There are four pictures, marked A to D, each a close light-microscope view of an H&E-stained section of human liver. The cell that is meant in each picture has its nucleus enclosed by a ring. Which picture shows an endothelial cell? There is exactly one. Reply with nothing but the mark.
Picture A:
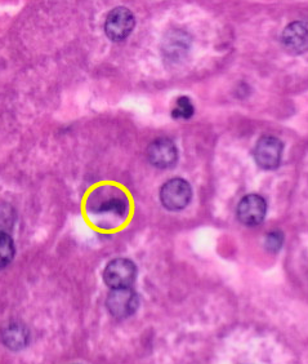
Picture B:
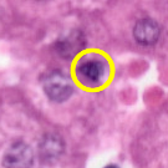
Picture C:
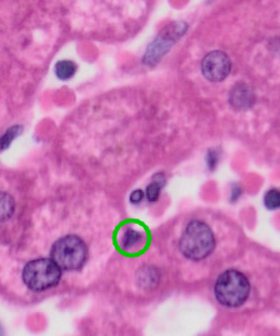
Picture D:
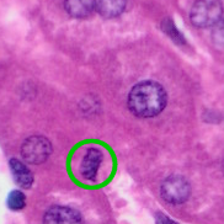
A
